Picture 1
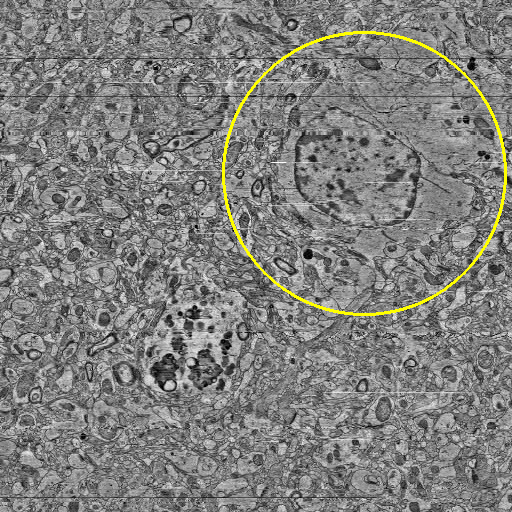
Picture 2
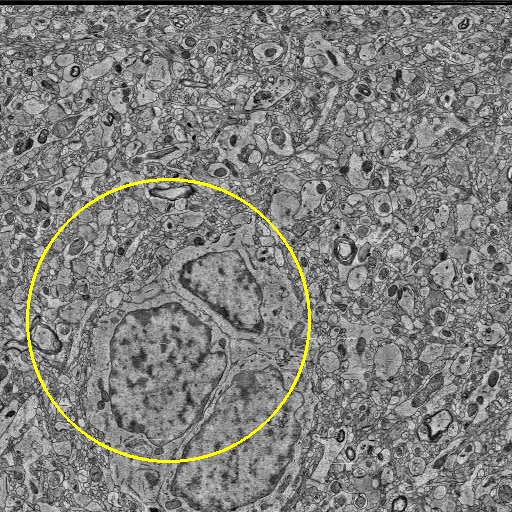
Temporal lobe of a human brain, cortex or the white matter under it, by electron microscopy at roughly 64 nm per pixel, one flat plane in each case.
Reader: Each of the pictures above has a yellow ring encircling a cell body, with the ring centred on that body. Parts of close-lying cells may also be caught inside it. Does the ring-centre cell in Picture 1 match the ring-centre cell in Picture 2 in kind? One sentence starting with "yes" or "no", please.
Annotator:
No, Picture 1 and Picture 2 show ring-centre cells of two kinds.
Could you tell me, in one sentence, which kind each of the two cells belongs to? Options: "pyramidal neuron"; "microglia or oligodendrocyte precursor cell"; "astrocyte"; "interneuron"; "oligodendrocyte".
At the centre of the first ring sits an astrocyte, and at the centre of the second sits a microglial cell or oligodendrocyte precursor cell.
